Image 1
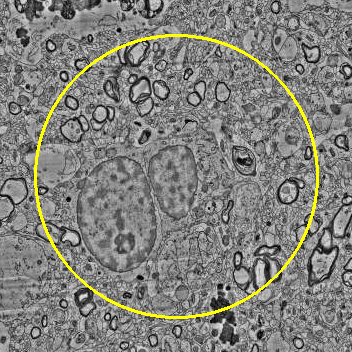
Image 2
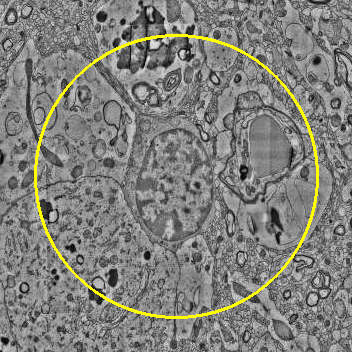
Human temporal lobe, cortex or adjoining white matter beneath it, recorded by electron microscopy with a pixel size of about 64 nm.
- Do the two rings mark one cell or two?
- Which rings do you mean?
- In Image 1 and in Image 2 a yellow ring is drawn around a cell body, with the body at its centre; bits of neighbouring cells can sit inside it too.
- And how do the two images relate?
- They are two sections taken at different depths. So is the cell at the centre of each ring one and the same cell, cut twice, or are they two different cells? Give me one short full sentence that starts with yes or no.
No, each ring encloses a different cell in the tissue.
